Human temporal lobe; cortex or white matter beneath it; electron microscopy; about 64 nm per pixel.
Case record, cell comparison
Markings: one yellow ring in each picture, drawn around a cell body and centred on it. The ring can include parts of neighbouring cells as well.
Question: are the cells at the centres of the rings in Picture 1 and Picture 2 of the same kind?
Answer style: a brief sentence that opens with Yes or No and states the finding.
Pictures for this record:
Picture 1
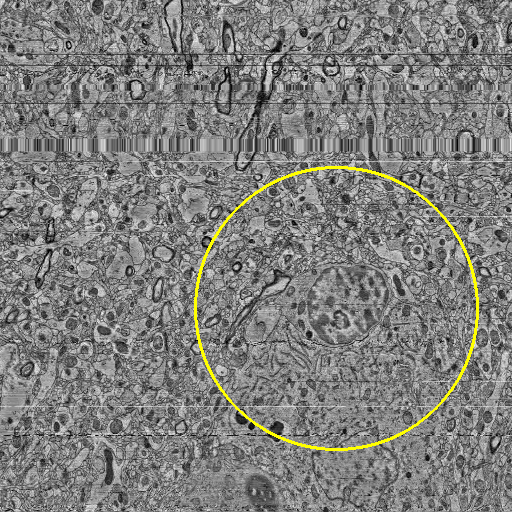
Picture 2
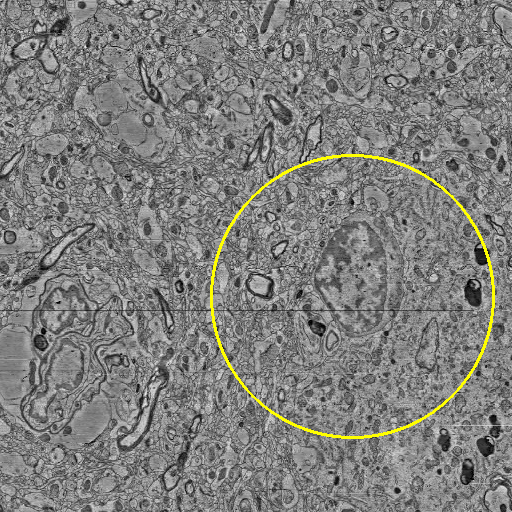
Yes, the cells in Picture 1 and Picture 2 are of the same kind.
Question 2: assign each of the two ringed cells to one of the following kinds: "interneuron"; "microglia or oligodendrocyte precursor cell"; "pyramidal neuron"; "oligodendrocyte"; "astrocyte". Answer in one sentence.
Both the first and the second picture show an oligodendrocyte in the ring.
